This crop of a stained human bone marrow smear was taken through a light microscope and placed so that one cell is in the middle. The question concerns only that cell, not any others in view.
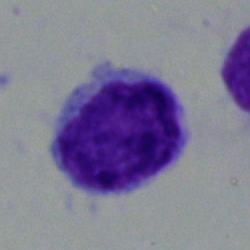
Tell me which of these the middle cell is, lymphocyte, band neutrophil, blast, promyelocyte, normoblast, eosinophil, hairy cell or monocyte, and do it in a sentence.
This crop's central cell is a hairy cell.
